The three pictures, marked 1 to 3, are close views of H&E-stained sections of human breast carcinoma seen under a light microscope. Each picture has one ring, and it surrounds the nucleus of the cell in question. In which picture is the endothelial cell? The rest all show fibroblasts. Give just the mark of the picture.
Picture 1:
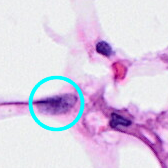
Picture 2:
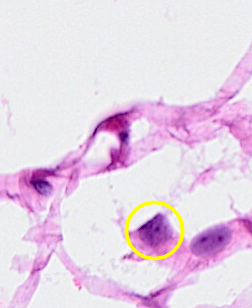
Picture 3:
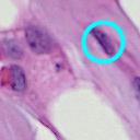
2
